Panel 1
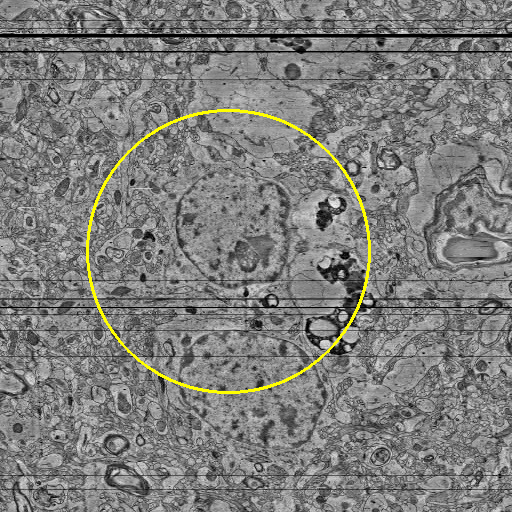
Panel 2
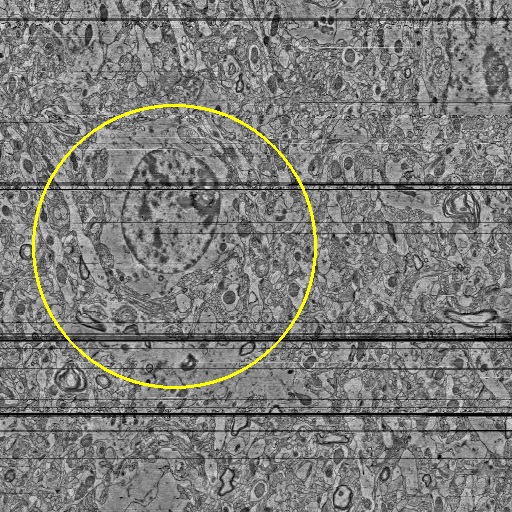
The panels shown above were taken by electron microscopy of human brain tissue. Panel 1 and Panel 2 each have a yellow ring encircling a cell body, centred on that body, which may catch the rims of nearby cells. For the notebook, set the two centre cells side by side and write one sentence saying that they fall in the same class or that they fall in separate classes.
The centred cells of Panel 1 and Panel 2 fall in the same class.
